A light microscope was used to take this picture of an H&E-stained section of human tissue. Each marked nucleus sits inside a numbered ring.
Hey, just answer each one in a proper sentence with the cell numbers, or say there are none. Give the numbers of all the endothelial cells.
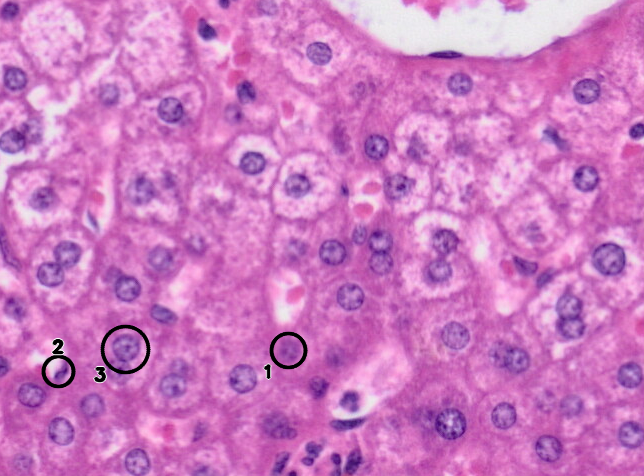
Cell 2 is an endothelial cell, and this holds for no other numbered cell.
